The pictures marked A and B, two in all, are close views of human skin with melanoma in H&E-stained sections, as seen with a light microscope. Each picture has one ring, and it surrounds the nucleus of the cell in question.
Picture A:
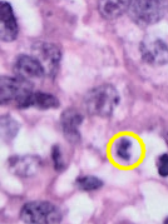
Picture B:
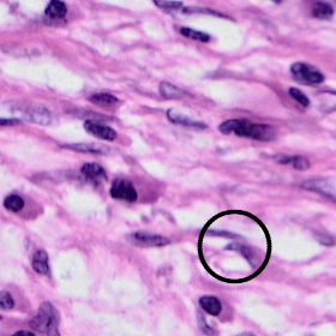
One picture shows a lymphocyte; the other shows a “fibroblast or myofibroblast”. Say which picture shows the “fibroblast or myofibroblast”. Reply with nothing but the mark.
B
